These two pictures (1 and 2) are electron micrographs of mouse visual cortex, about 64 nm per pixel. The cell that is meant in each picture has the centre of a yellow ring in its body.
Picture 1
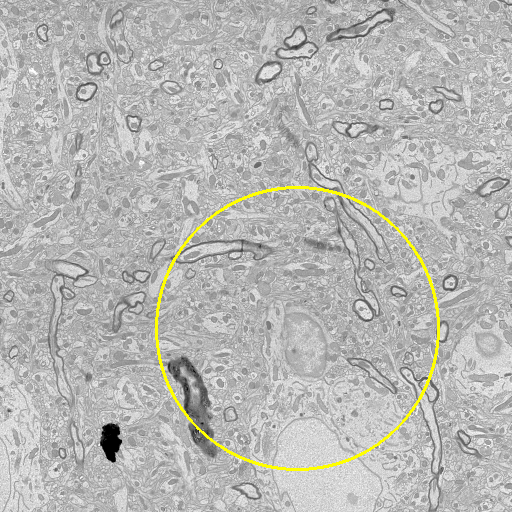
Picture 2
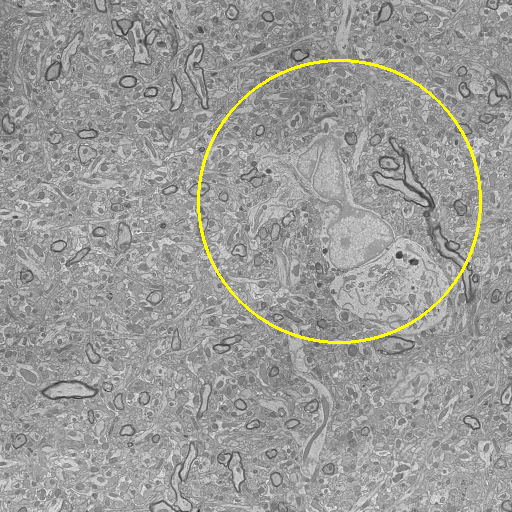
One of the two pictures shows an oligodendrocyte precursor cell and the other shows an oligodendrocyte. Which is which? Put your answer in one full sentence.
The cell in picture 1 is an oligodendrocyte, and the one in picture 2 is an oligodendrocyte precursor cell.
